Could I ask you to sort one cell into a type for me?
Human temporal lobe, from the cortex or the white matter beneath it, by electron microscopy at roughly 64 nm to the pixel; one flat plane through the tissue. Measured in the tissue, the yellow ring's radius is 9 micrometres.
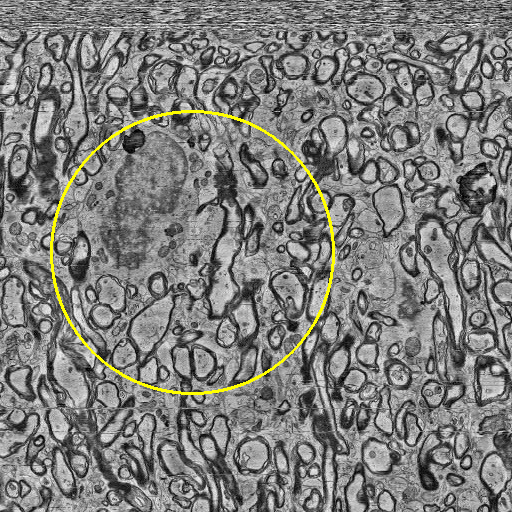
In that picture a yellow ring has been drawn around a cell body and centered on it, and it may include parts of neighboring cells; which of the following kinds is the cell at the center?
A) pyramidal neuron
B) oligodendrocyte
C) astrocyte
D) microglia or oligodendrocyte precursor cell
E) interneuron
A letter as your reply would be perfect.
D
